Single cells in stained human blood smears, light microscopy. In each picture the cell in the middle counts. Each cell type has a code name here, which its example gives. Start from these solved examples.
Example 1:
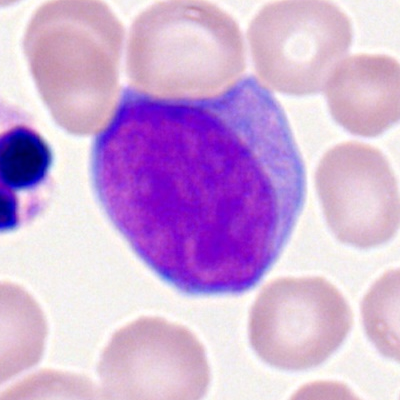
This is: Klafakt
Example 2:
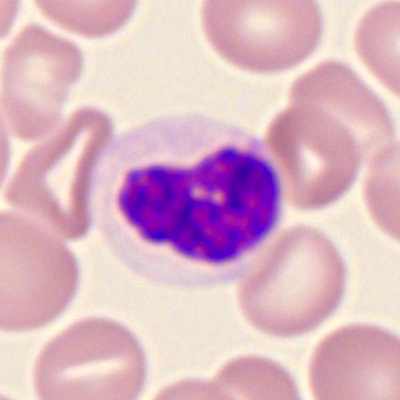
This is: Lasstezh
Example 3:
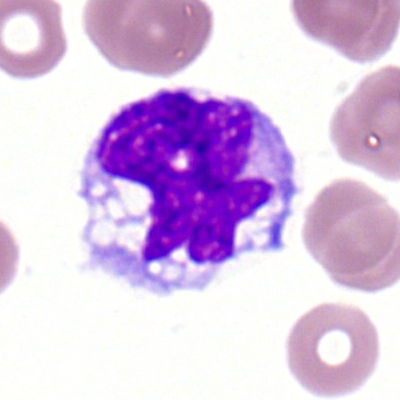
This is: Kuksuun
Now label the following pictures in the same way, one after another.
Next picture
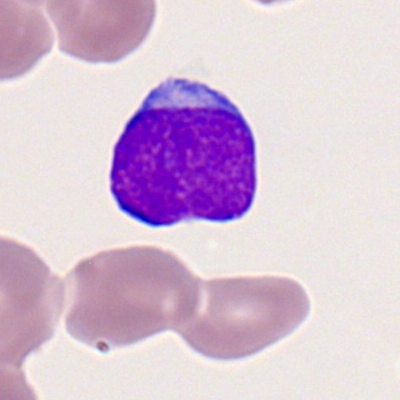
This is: Klafakt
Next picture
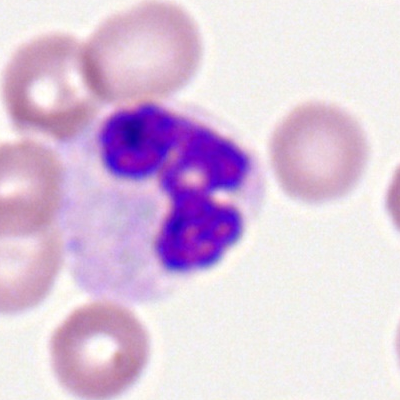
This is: Lasstezh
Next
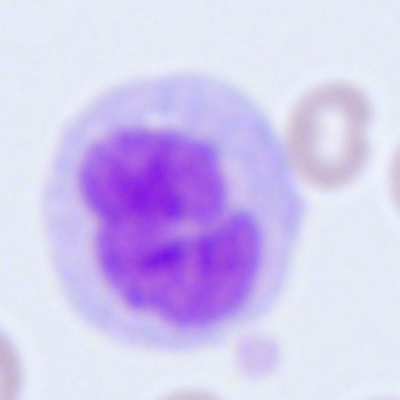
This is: Kuksuun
